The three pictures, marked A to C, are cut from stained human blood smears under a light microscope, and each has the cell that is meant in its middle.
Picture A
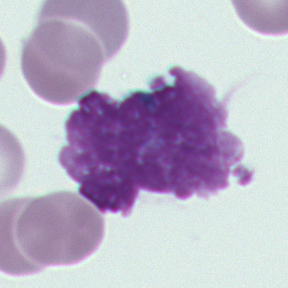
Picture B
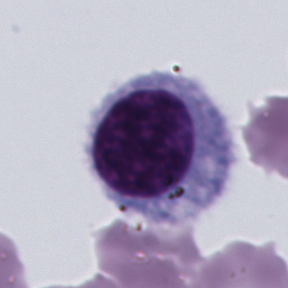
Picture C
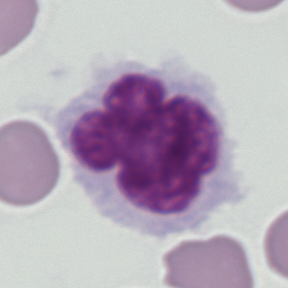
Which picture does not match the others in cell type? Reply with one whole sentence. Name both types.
Unlike the rest, which show hairy cells, picture A shows a smudge cell.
